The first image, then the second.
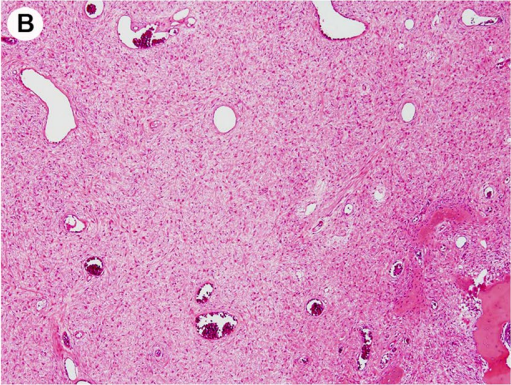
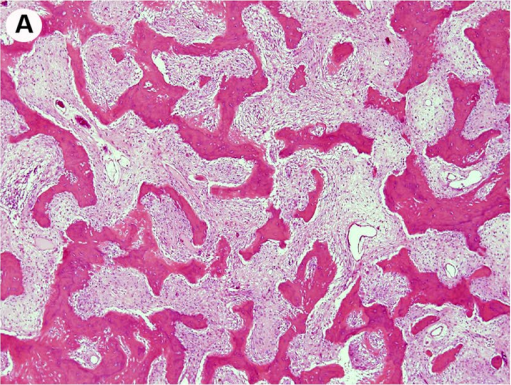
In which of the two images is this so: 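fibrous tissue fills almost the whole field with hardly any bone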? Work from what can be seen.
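First image: pale spindle-cell stroma with vessels covers nearly everything, with bone only at one edge. Second image: pink bone trabeculae take up much of the field, with stroma between them. On this evidence: the first image.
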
